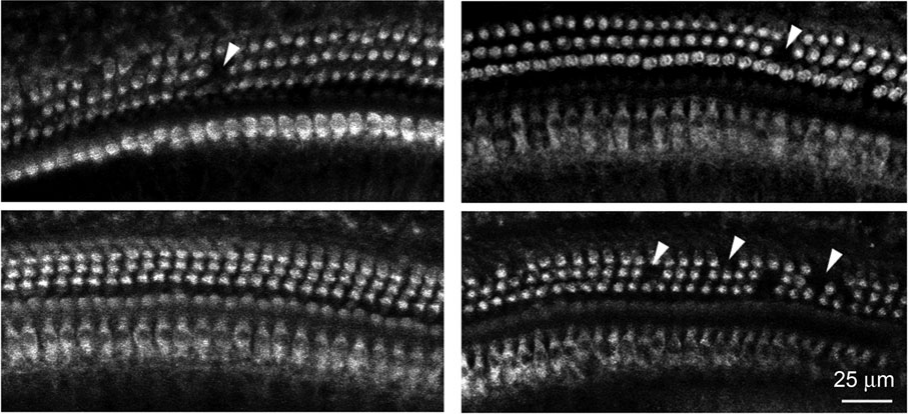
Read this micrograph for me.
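Surface views of the organ of Corti show labelled hair cells as white profiles on a dark background. Three rows of small, rounded outer hair cells are arranged in a regular mosaic above a single row of larger, more diffusely labelled inner hair cells. The inner hair cell row is continuous, while the outer rows show scattered gaps where single cells are absent from the mosaic.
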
